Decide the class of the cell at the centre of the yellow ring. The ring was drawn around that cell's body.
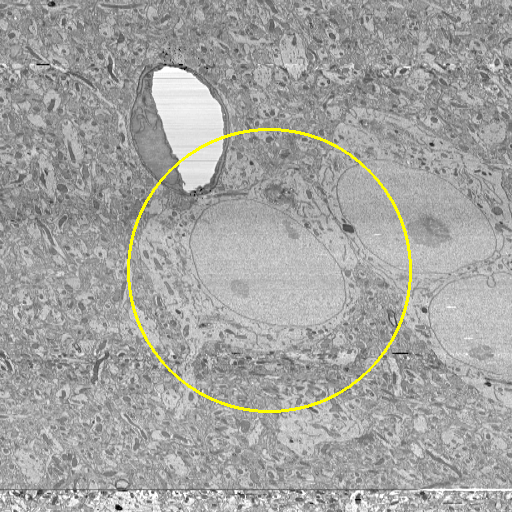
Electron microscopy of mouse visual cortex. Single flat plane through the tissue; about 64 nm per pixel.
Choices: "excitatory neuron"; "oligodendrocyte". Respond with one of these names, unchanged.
excitatory neuron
